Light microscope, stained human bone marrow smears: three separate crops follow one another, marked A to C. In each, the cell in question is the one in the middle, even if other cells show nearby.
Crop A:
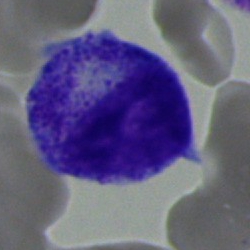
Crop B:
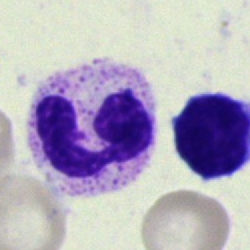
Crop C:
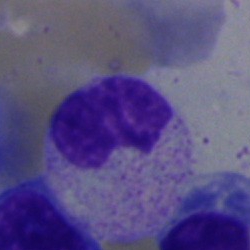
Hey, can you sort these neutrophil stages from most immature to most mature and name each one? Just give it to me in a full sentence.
Reading from least to most mature, the order comes out as crop A (a myelocyte), crop C (a metamyelocyte) and crop B (a segmented neutrophil).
